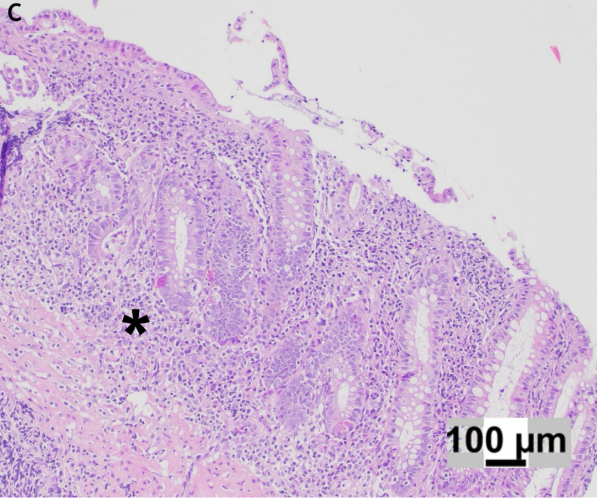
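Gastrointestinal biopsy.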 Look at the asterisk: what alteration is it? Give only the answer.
Marked inflammatory infiltrate.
